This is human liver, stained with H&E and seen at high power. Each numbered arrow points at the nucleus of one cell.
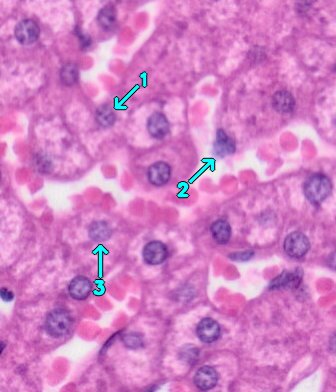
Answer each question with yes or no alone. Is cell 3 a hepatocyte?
yes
